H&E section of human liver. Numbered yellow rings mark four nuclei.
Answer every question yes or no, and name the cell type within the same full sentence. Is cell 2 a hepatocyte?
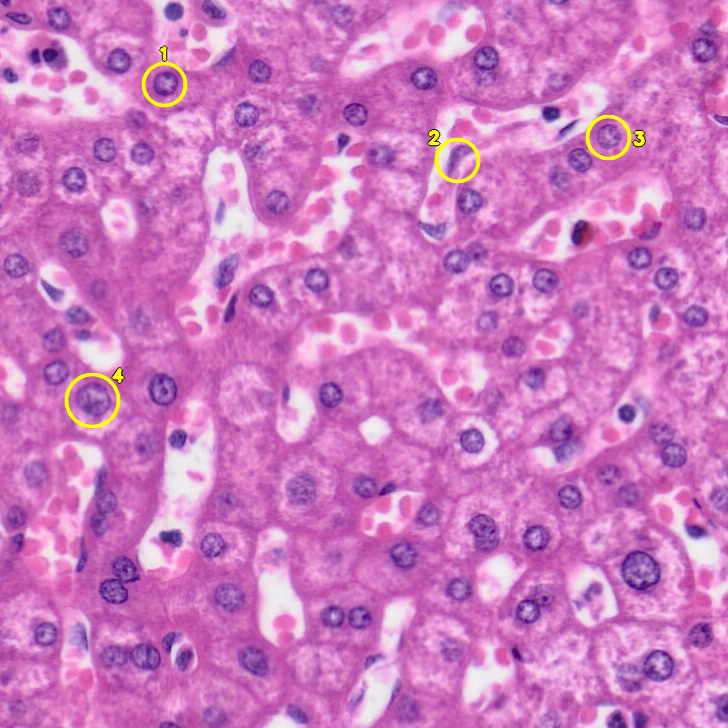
No, the marked cell 2 is not a hepatocyte, being instead a Kupffer cell.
